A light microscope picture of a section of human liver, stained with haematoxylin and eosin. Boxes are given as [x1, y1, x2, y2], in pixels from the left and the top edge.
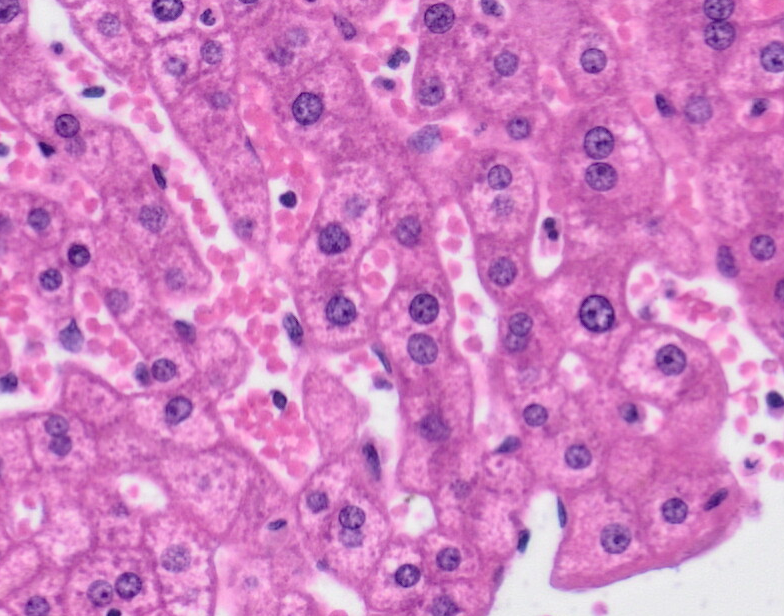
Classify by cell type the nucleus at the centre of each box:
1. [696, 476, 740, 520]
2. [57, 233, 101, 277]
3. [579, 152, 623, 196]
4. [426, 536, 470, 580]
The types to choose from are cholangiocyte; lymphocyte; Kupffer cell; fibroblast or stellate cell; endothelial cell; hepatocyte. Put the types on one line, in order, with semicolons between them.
fibroblast or stellate cell; hepatocyte; hepatocyte; hepatocyte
